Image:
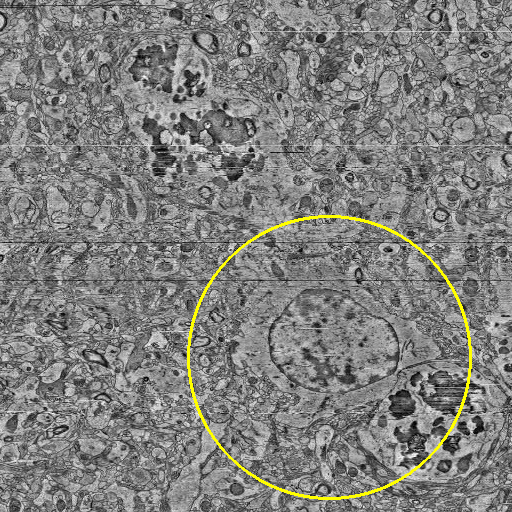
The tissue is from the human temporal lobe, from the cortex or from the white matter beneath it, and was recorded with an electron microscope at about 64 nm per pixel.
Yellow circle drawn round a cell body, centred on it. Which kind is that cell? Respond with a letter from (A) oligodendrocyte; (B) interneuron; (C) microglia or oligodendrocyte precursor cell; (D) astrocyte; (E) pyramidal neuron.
D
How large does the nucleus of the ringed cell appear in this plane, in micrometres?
About 8 micrometres by about 7 micrometres in this plane.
